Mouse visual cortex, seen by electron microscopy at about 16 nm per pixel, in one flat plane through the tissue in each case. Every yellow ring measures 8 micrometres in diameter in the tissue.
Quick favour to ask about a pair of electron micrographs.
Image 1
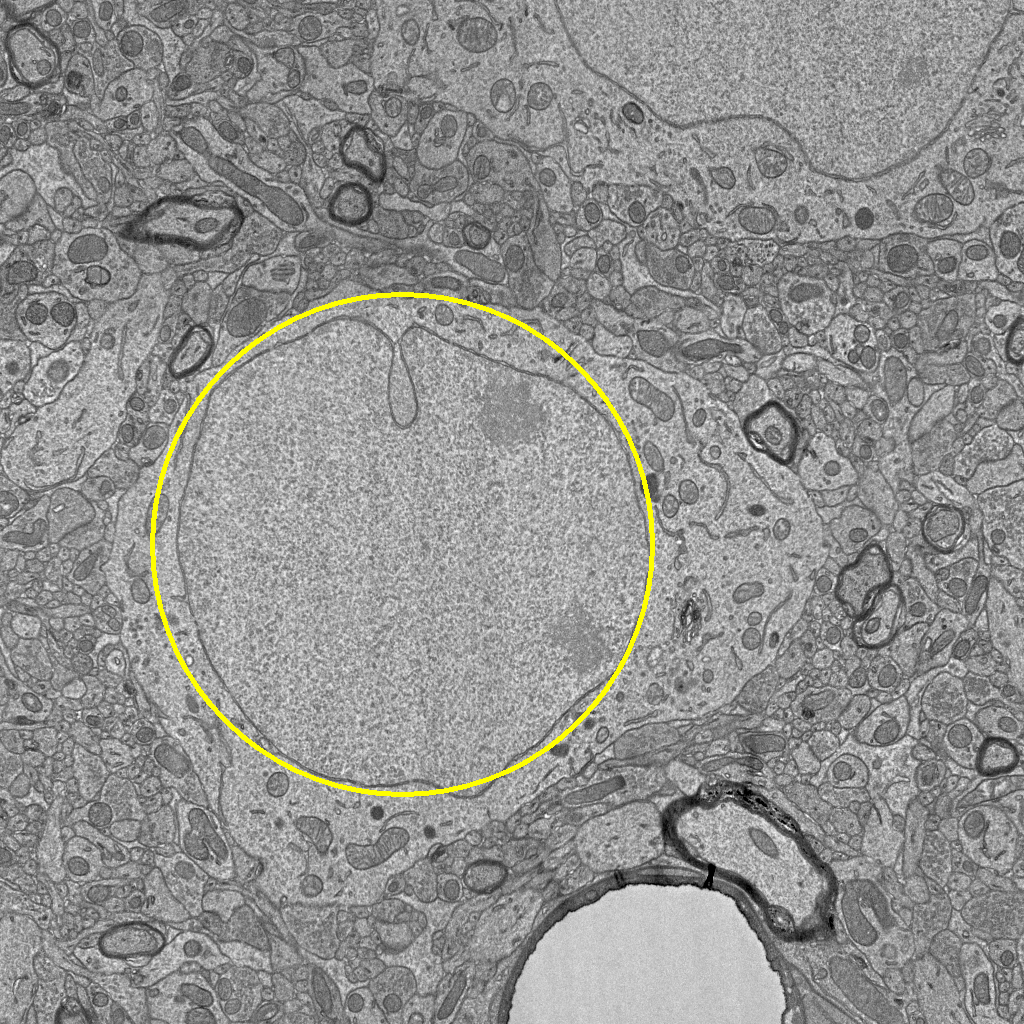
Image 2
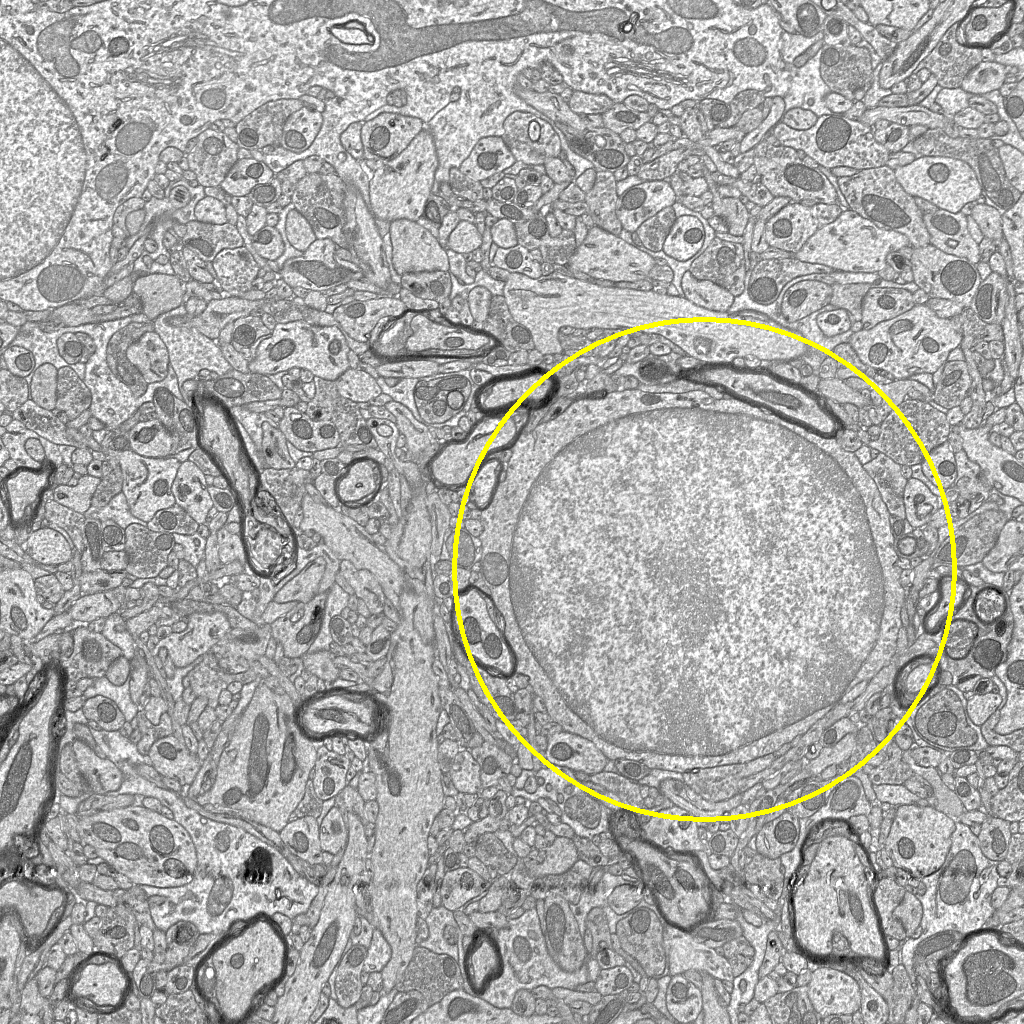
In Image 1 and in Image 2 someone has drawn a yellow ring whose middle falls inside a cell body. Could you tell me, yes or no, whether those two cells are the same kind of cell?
no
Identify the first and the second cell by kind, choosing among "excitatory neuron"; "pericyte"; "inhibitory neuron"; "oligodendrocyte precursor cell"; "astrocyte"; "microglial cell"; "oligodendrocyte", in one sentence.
In the first picture it is an excitatory neuron; in the second it is an oligodendrocyte.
